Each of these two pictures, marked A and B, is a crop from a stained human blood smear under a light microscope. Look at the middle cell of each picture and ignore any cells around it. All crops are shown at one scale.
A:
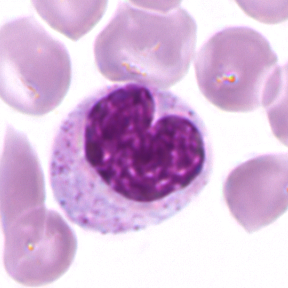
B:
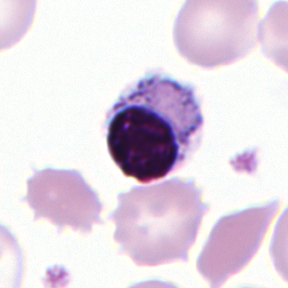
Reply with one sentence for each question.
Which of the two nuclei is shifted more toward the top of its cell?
In picture A the nucleus is shifted more toward the top.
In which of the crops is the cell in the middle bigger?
The cell in picture A is larger, with about 2.5 times the area of the one in picture B.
